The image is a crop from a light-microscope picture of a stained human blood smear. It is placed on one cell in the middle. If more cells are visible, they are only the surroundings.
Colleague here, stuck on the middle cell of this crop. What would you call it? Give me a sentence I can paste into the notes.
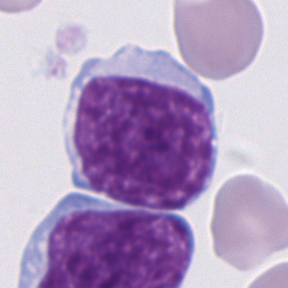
Classified as a myeloblast is the cell in the middle of this crop.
